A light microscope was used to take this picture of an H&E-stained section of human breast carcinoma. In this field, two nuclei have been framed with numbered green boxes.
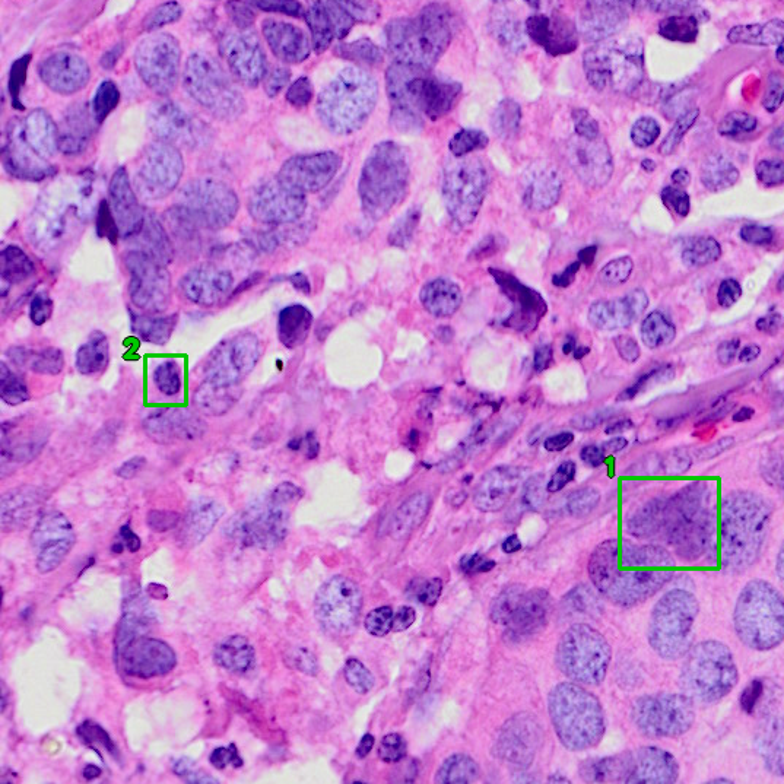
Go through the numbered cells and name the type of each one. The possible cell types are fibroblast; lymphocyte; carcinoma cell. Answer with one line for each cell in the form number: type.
1: carcinoma cell
2: lymphocyte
